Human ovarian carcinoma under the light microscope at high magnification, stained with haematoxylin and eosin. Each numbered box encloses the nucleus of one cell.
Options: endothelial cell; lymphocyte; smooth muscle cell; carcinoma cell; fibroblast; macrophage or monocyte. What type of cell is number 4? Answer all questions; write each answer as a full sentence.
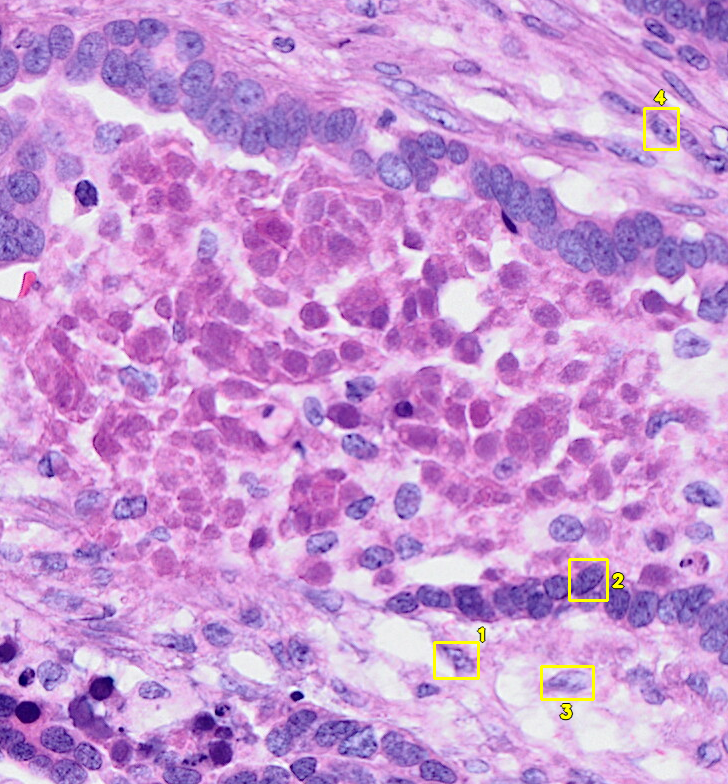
Numbered cell 4 is a fibroblast in this tissue section.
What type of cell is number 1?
As for number 1, that cell is a fibroblast.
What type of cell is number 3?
Recognised here as a fibroblast is the cell numbered 3.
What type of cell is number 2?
Identified as a carcinoma cell is the cell bearing the number 2.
